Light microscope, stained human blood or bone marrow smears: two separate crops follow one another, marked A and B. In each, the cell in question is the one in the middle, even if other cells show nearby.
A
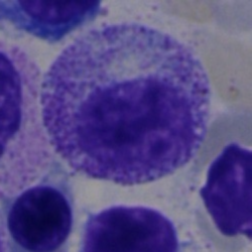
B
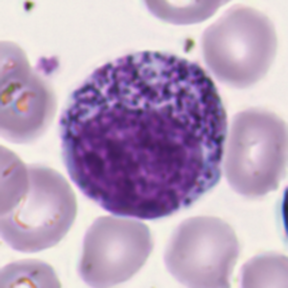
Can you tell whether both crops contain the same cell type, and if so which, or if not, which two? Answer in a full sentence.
Yes, the cells at the centre of the two crops are both myelocytes.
